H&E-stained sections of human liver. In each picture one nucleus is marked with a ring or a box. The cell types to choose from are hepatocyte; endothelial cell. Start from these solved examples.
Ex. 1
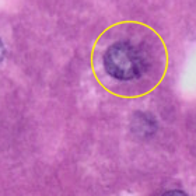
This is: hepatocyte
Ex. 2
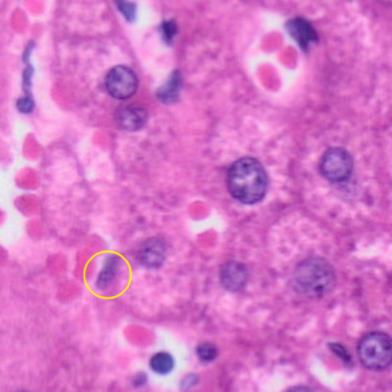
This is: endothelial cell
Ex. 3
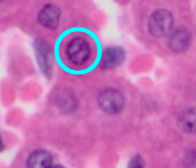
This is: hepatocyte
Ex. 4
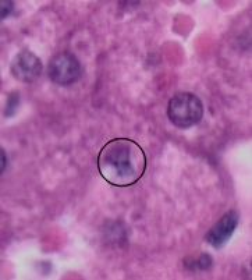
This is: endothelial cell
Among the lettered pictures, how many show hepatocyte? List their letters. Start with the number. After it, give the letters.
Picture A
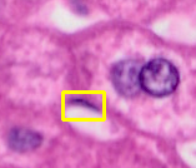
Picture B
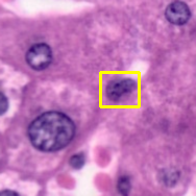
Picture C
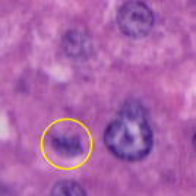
0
